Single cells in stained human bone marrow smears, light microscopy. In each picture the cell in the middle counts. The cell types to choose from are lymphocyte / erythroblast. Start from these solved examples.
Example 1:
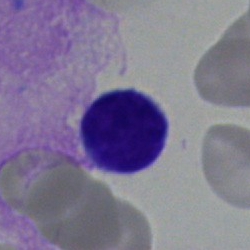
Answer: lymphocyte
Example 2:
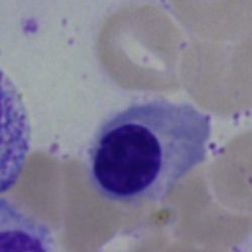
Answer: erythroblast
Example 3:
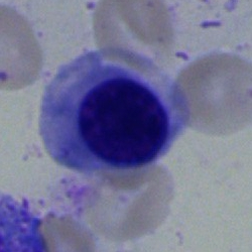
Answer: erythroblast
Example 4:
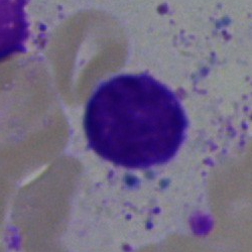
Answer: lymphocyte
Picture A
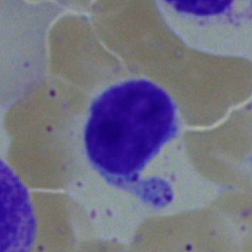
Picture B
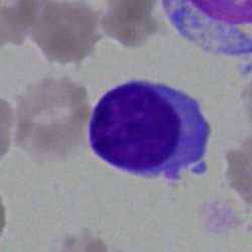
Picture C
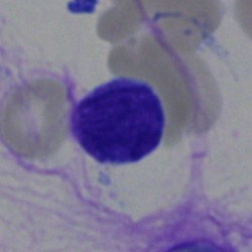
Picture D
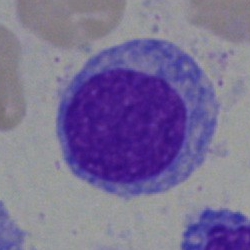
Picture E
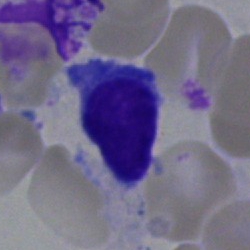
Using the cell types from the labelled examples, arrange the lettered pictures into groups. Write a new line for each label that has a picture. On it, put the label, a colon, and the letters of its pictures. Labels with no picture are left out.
lymphocyte: A, B, C, D, E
